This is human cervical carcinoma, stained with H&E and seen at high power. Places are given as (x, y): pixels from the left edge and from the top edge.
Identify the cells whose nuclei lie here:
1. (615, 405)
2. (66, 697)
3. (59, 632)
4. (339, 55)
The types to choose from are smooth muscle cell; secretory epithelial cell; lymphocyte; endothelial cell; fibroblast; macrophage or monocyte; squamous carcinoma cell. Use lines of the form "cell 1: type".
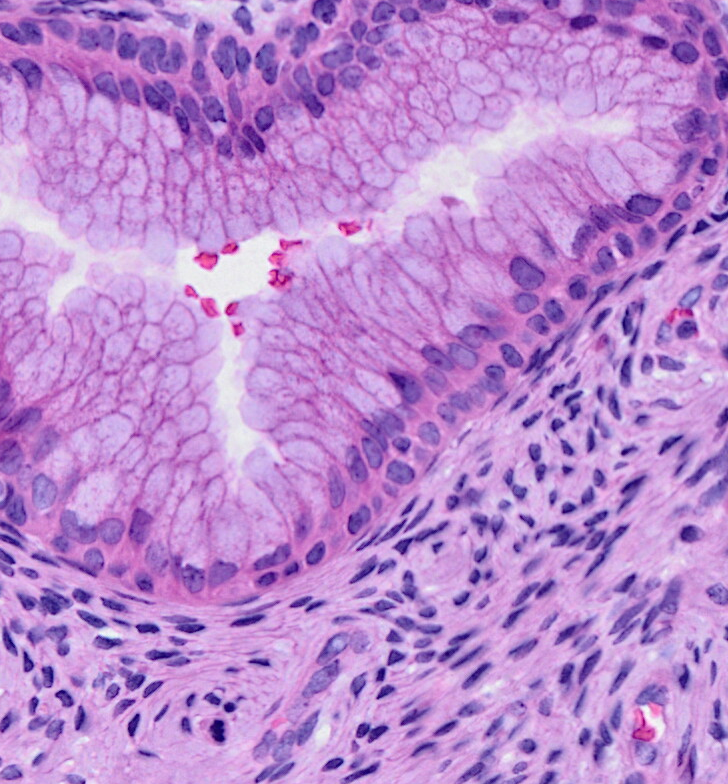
cell 1: fibroblast
cell 2: fibroblast
cell 3: fibroblast
cell 4: secretory epithelial cell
